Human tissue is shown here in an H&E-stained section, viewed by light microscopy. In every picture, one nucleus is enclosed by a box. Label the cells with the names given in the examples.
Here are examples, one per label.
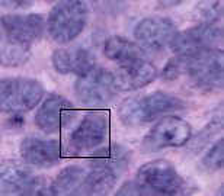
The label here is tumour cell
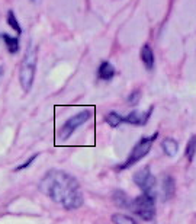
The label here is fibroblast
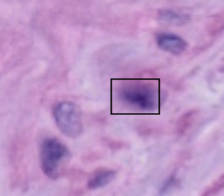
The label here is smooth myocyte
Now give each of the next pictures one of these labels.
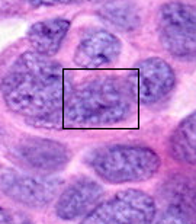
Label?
tumour cell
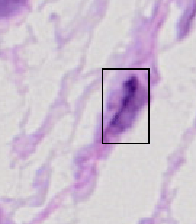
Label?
fibroblast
